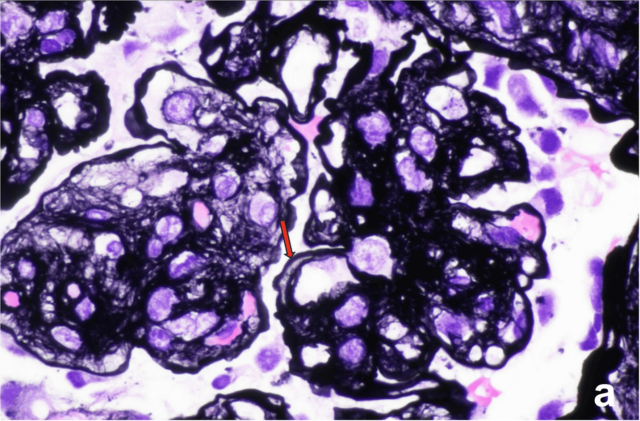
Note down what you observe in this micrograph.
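This is a glomerulus whose capillary loops are outlined by black-stained basement membranes, with purple nuclei inside the tuft. Several capillary walls show double contours, two parallel black lines separated by a pale space, giving a split or duplicated appearance. The tuft is lobulated and the capillary lumens are narrowed in places.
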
